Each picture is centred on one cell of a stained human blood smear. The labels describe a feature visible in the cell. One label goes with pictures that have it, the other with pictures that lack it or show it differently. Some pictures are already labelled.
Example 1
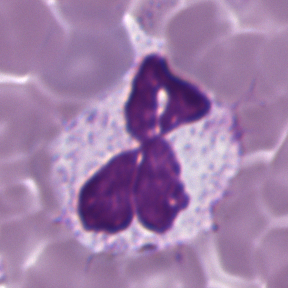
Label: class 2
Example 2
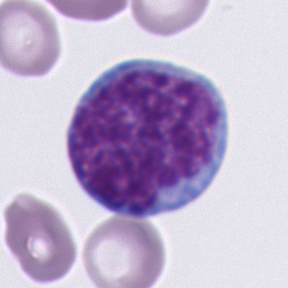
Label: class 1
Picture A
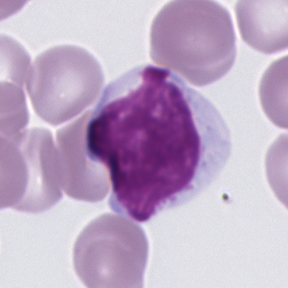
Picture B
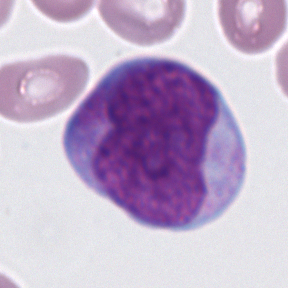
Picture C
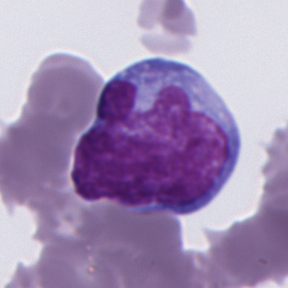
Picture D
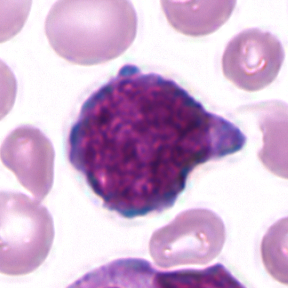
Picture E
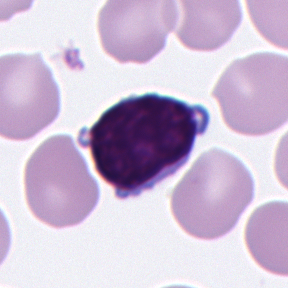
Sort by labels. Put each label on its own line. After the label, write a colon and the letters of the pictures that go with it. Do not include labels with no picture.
class 2: D, E
class 1: A, B, C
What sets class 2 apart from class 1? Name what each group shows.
class 2, ragged outline or projections; class 1, smooth outline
